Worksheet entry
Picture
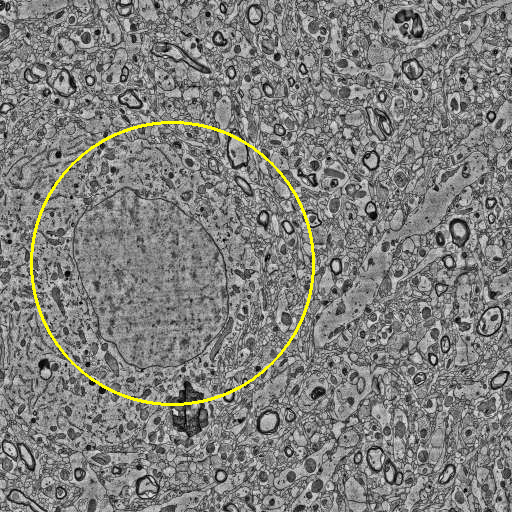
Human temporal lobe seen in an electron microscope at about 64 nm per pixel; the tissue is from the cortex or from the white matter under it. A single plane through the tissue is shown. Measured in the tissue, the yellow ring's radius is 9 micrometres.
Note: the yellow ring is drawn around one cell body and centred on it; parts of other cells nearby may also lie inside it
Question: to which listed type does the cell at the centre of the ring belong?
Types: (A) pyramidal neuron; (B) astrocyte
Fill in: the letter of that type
A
